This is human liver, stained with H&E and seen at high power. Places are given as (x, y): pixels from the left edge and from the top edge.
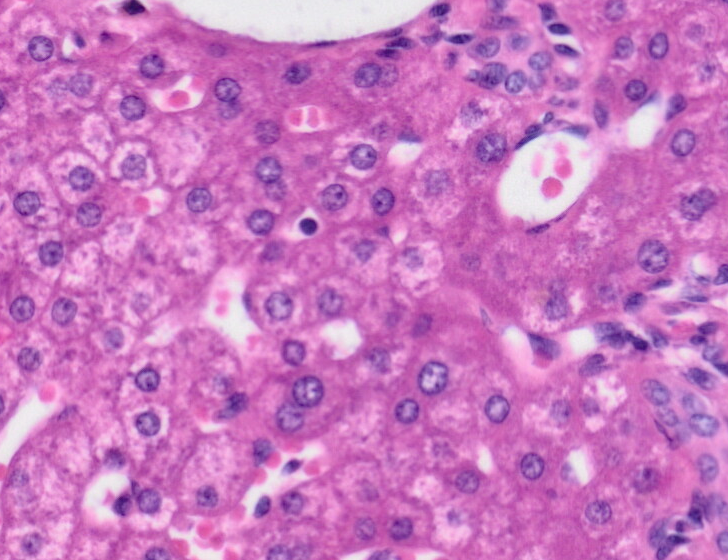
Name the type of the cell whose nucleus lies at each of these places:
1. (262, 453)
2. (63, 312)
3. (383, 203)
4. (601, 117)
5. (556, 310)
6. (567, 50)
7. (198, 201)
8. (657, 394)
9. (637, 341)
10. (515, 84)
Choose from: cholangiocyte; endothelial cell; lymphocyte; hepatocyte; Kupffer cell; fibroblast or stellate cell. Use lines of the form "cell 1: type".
cell 1: endothelial cell
cell 2: hepatocyte
cell 3: hepatocyte
cell 4: fibroblast or stellate cell
cell 5: hepatocyte
cell 6: fibroblast or stellate cell
cell 7: hepatocyte
cell 8: cholangiocyte
cell 9: fibroblast or stellate cell
cell 10: cholangiocyte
